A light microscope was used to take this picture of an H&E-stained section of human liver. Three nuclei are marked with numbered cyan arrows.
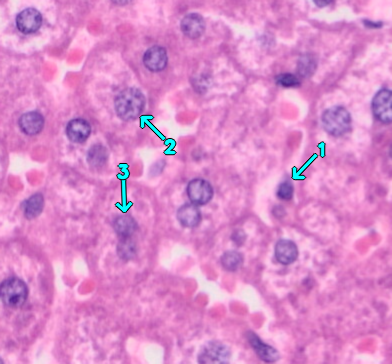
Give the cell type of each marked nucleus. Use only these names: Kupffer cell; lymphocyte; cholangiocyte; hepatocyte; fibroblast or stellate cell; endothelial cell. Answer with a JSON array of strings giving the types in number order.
["Kupffer cell", "hepatocyte", "hepatocyte"]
